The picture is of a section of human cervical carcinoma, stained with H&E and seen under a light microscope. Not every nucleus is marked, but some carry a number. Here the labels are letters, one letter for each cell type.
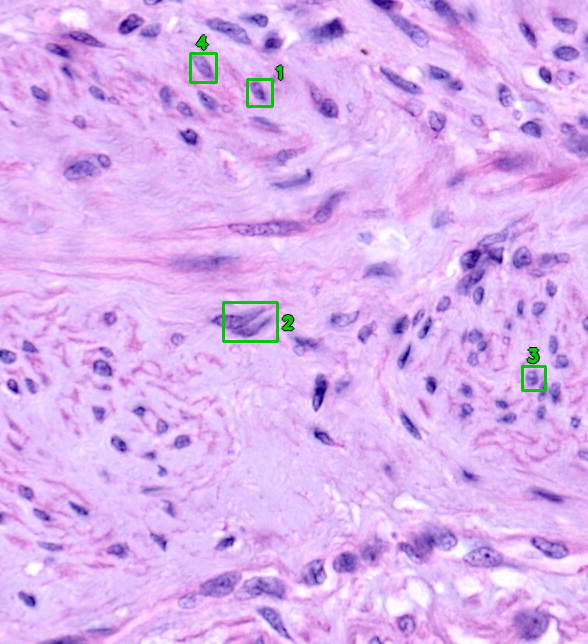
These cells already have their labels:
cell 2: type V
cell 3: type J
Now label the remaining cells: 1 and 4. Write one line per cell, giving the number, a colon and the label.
1: type J
4: type J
